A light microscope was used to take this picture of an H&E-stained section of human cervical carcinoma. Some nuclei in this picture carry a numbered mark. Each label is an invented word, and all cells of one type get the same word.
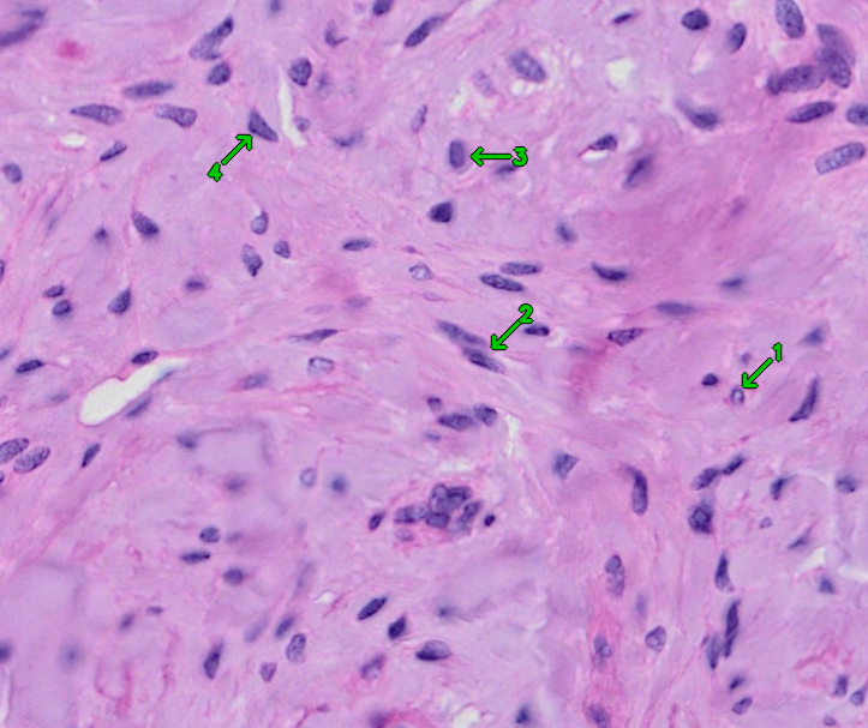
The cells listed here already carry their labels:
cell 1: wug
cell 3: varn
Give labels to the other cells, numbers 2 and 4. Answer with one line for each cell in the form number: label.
2: varn
4: varn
